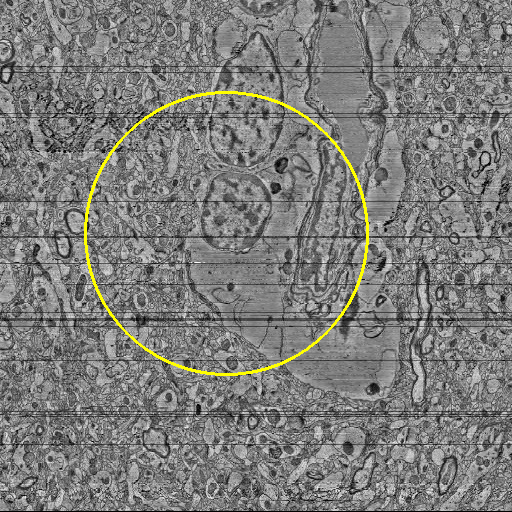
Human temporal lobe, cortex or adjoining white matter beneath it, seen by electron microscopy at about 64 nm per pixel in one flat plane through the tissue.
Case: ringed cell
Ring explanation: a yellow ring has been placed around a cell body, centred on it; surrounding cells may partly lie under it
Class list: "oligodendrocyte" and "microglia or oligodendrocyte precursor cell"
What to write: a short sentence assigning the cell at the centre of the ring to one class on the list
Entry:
The cell at the ring's centre is a microglial cell or oligodendrocyte precursor cell.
